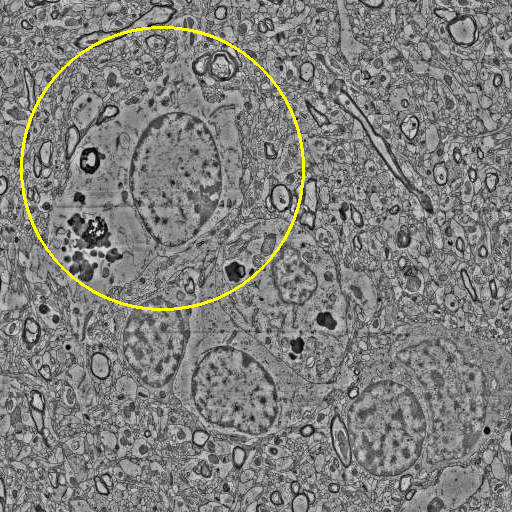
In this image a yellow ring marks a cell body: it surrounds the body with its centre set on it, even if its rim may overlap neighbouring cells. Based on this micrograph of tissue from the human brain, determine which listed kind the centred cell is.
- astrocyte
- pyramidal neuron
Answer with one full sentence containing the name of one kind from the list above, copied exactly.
It is an astrocyte whose body the yellow ring encloses at its centre.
